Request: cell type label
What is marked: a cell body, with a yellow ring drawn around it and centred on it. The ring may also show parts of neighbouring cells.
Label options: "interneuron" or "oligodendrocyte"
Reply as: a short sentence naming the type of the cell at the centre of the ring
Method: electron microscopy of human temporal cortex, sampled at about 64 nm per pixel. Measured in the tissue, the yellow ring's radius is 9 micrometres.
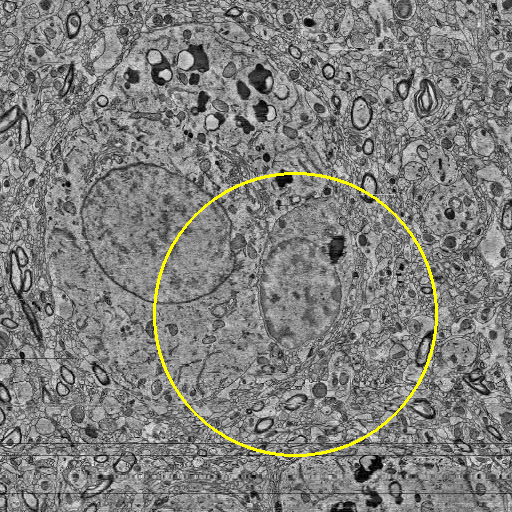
The marked cell body is that of an oligodendrocyte.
